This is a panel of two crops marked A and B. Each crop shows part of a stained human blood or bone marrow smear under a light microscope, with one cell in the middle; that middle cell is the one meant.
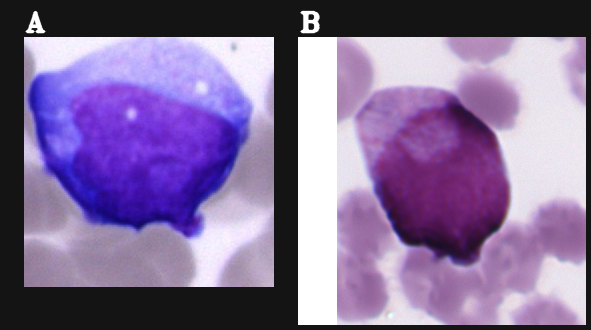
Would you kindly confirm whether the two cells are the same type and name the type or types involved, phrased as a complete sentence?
Yes, the same answer goes for both crops, namely blasts.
